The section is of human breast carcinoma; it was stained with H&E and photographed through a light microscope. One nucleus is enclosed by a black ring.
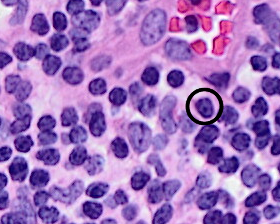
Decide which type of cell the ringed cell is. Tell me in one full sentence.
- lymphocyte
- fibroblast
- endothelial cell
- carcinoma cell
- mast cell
Cytologically, the ringed cell is to be regarded as a lymphocyte.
